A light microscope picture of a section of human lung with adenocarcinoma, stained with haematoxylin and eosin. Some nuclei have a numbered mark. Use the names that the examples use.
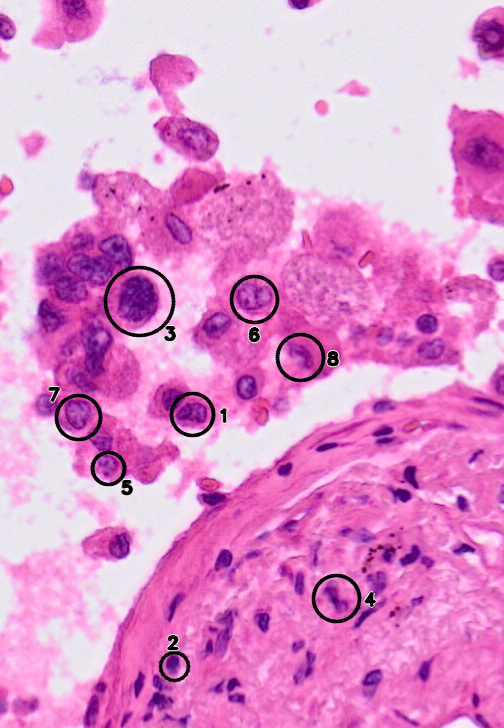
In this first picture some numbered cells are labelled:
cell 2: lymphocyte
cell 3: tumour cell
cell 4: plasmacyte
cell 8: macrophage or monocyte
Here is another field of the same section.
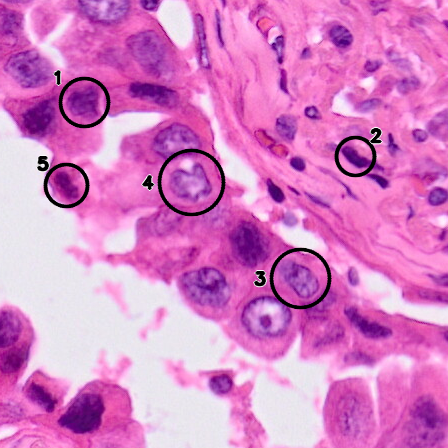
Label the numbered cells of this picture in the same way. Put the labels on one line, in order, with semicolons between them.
tumour cell; plasmacyte; tumour cell; tumour cell; macrophage or monocyte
